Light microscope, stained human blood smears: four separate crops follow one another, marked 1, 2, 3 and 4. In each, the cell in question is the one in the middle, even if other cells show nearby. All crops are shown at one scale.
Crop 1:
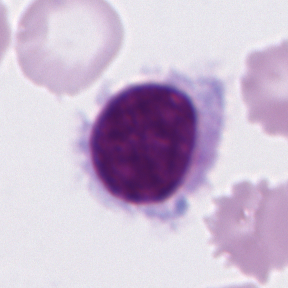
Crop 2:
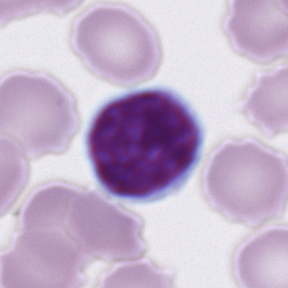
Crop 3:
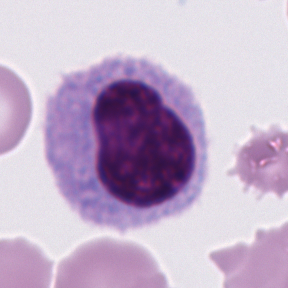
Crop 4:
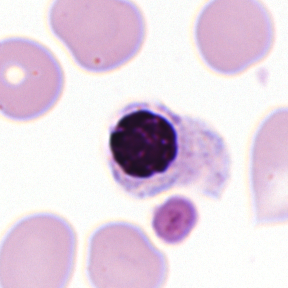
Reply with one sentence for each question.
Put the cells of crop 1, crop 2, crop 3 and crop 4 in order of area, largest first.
Going down, they run 3, 1, 2, 4.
